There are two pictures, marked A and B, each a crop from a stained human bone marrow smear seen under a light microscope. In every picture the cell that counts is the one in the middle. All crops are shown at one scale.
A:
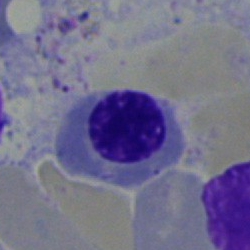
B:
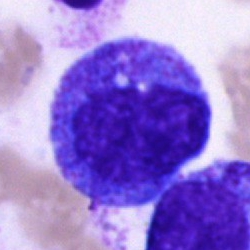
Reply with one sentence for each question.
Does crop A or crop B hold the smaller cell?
The cell in crop A is smaller; the one in crop B has about 2 times its area.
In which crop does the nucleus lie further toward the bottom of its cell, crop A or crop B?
The nucleus in crop B lies further toward the bottom of its cell.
